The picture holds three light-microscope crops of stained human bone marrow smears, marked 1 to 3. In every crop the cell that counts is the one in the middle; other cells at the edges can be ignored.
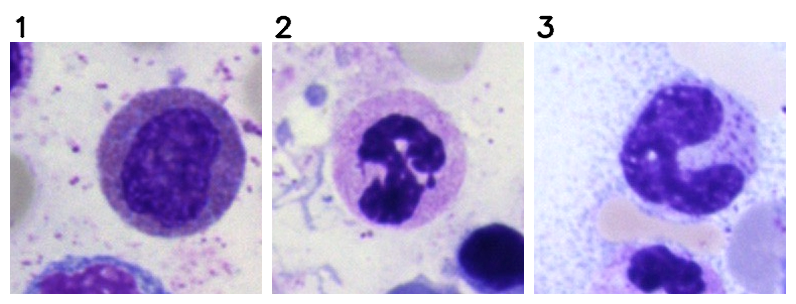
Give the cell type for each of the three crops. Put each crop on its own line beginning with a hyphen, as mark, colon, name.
- 1: eosinophil
- 2: segmented neutrophil
- 3: band neutrophil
